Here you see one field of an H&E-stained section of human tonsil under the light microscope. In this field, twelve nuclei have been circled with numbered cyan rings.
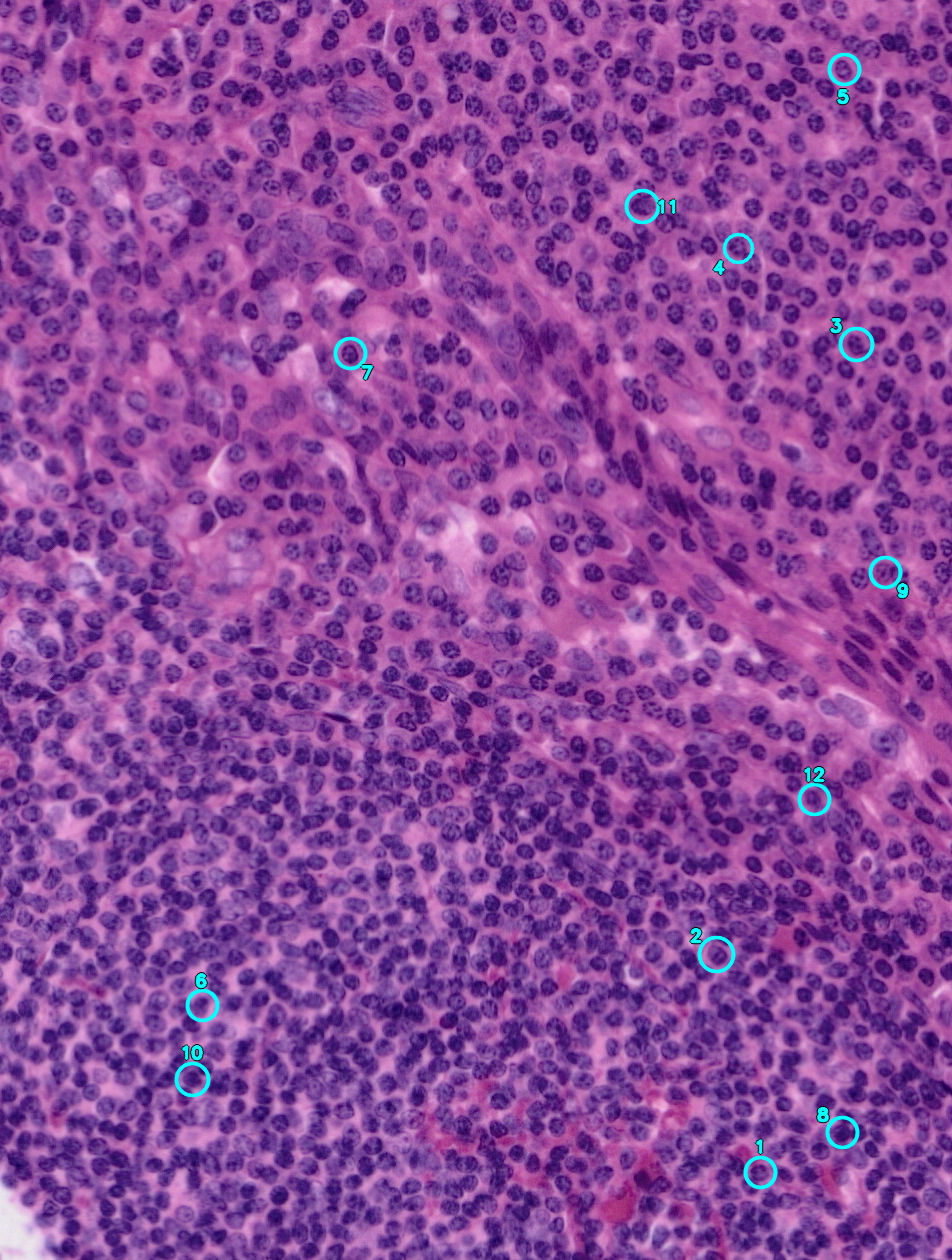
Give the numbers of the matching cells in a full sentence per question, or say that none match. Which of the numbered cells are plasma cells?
Cells numbered 3, 4, 5, 7, 9, 11 and 12 belong to the group of plasma cells.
